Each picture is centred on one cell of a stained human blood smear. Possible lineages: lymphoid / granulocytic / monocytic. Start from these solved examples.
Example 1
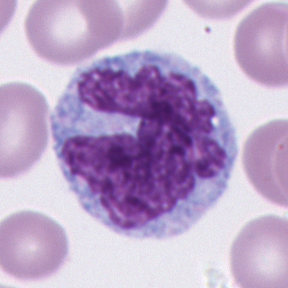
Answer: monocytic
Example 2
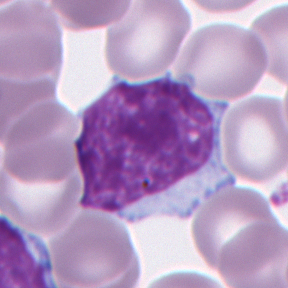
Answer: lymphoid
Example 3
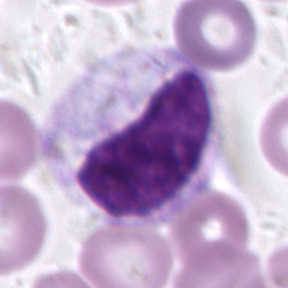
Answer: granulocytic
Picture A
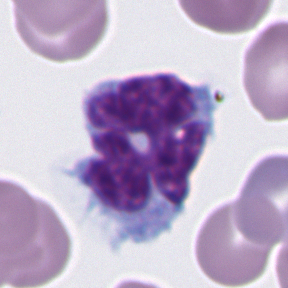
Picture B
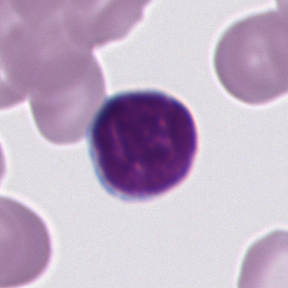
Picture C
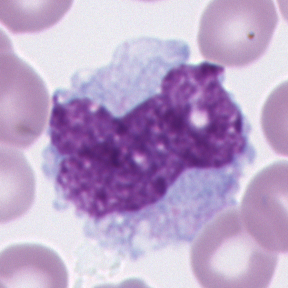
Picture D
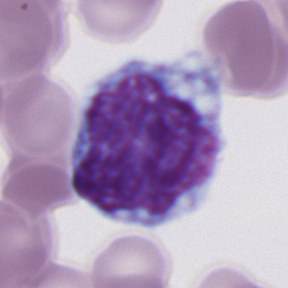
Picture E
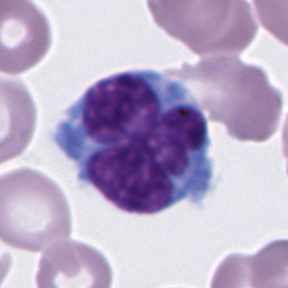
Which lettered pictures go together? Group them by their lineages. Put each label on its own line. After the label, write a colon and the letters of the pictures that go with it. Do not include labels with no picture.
lymphoid: B
monocytic: A, C, D, E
